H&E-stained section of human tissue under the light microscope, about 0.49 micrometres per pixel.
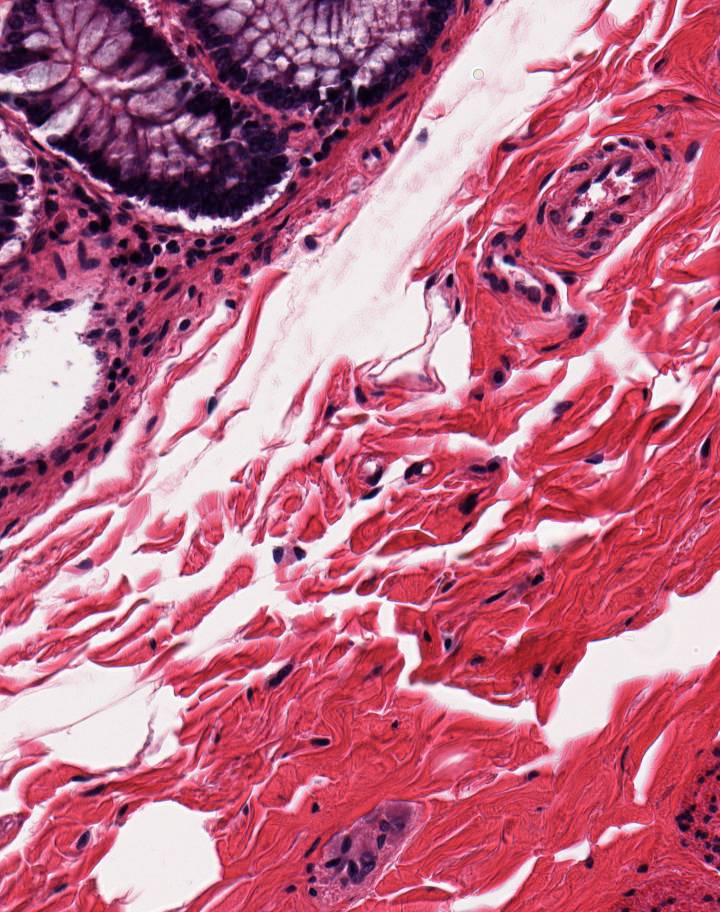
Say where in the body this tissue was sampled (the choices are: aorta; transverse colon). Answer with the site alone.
transverse colon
